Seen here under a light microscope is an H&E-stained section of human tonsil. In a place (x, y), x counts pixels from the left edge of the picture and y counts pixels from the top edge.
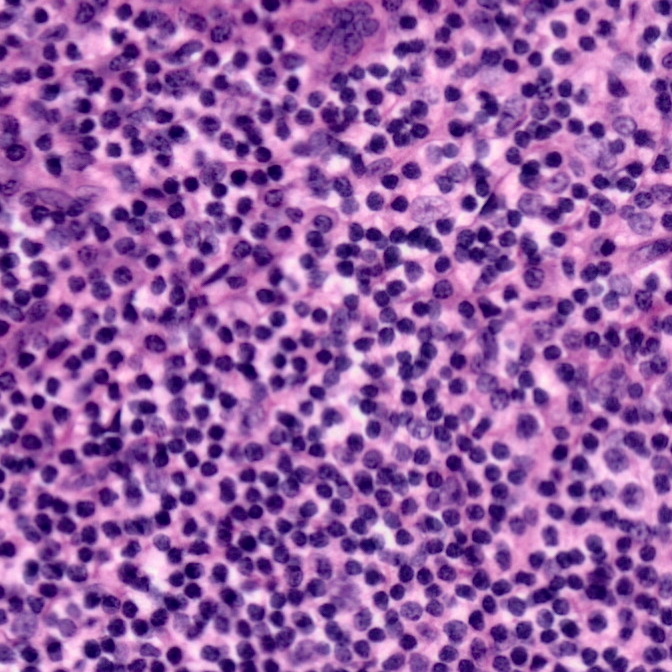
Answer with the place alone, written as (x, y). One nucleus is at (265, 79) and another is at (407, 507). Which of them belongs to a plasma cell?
(265, 79)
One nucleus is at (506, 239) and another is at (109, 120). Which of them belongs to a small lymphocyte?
(506, 239)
